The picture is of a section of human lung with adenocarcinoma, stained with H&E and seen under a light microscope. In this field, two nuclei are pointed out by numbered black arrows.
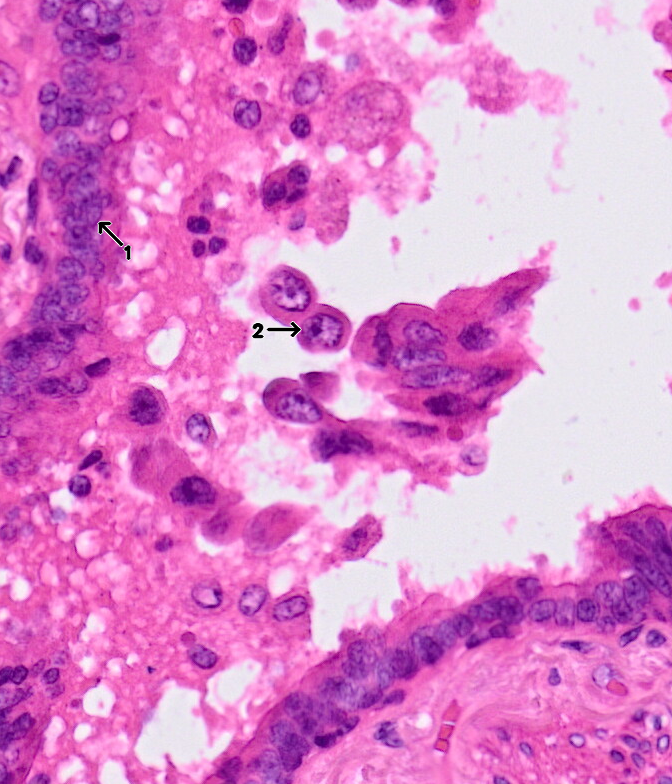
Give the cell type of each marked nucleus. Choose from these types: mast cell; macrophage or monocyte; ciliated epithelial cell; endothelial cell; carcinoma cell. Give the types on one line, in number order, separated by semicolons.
ciliated epithelial cell; carcinoma cell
